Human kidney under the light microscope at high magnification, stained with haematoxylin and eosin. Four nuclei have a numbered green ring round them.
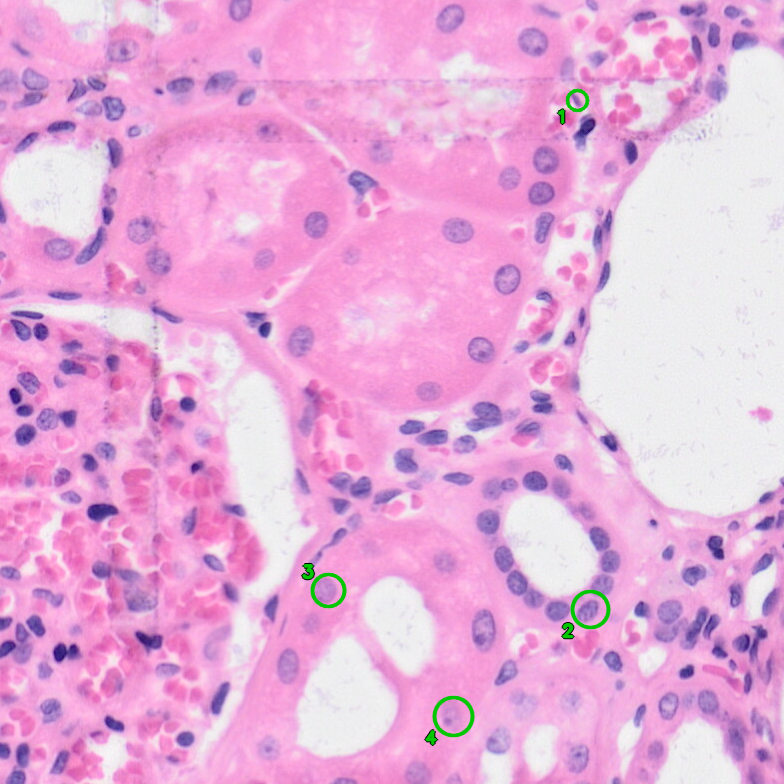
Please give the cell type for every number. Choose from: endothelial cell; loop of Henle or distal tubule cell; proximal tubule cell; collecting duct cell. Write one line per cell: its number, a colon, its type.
1: endothelial cell
2: collecting duct cell
3: proximal tubule cell
4: proximal tubule cell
